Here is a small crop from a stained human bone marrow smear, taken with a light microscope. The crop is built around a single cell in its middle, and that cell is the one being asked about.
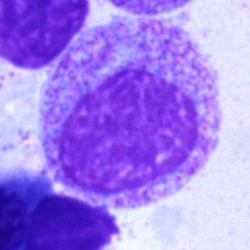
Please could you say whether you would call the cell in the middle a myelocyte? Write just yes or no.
yes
